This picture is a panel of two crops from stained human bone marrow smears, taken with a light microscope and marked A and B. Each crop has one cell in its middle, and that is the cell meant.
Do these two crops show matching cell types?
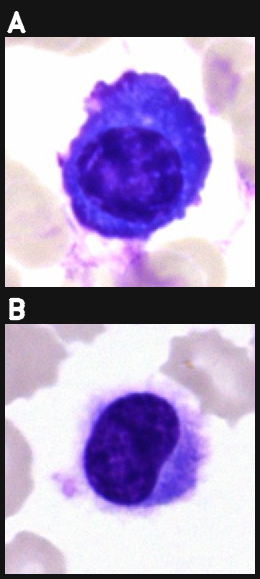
no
